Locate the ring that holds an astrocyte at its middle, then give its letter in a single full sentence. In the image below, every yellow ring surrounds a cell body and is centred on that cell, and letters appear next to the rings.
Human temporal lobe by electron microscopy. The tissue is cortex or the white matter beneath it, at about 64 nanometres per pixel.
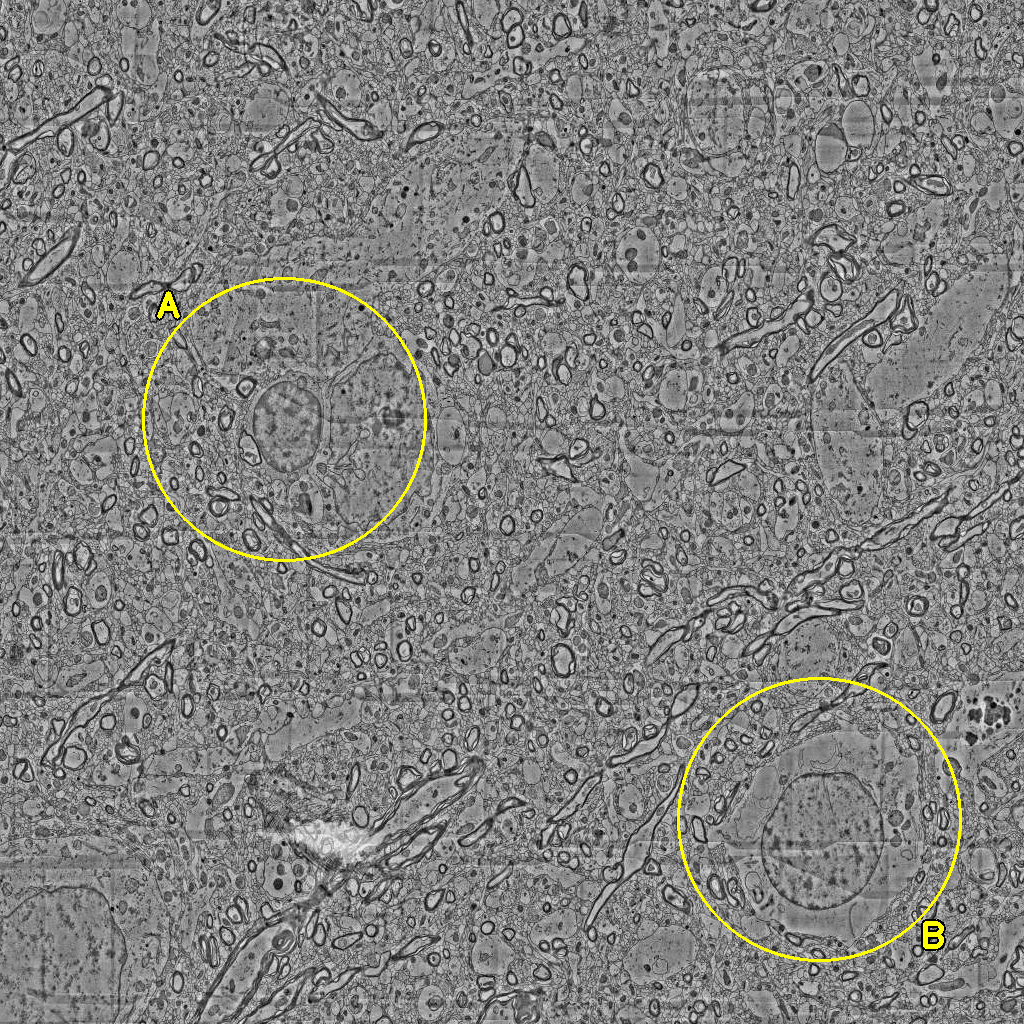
Ring B is the one centred on that kind of cell in the image.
